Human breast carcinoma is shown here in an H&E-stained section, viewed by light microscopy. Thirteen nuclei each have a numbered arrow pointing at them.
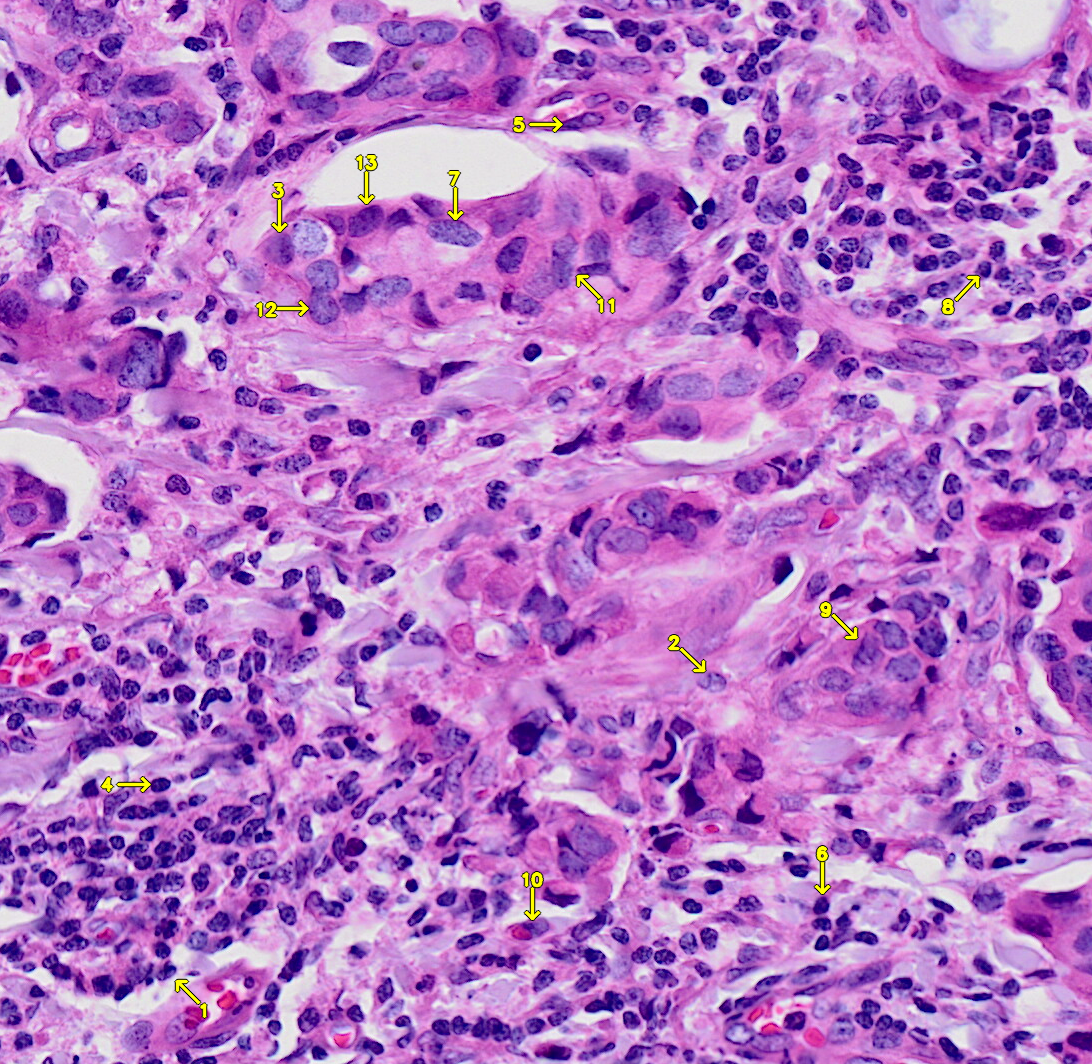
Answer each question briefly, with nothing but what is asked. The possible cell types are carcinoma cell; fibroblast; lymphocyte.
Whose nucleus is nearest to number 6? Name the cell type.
lymphocyte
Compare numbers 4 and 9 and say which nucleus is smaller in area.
4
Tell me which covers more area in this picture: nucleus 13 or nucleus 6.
13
